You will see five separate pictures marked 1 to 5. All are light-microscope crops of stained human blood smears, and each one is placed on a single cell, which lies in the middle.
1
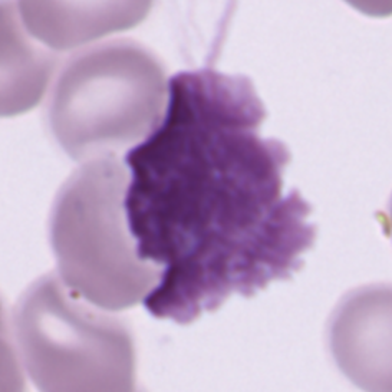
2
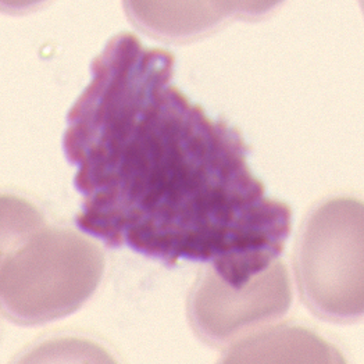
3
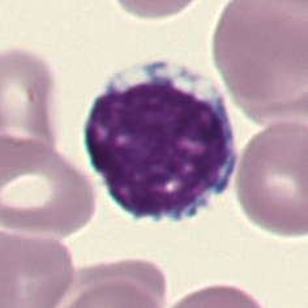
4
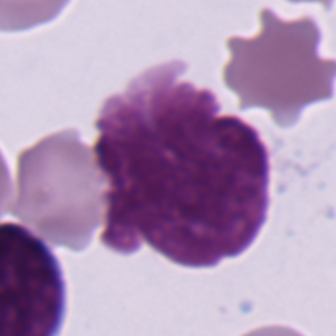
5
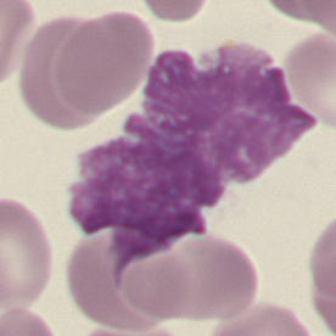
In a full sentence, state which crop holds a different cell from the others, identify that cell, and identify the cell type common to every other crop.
Shown in crop 3 is a typical lymphocyte, in contrast to the smudge cells of all the other crops.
